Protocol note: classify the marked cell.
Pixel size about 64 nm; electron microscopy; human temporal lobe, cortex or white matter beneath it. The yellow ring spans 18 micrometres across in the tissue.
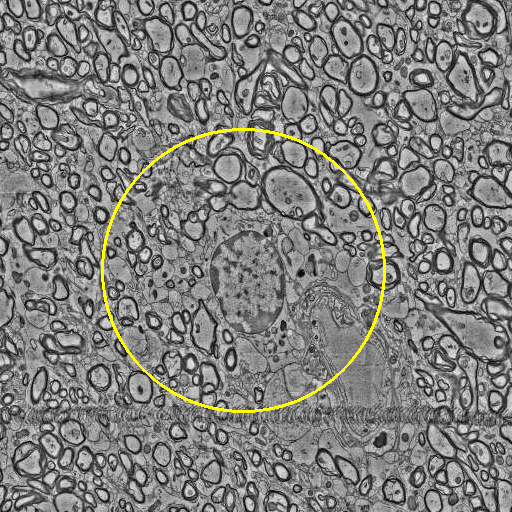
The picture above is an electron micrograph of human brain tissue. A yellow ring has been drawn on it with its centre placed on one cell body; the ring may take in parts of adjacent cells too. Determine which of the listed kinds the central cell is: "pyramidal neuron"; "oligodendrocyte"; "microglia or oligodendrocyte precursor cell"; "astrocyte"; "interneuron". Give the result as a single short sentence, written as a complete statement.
The central cell is a microglial cell or oligodendrocyte precursor cell.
